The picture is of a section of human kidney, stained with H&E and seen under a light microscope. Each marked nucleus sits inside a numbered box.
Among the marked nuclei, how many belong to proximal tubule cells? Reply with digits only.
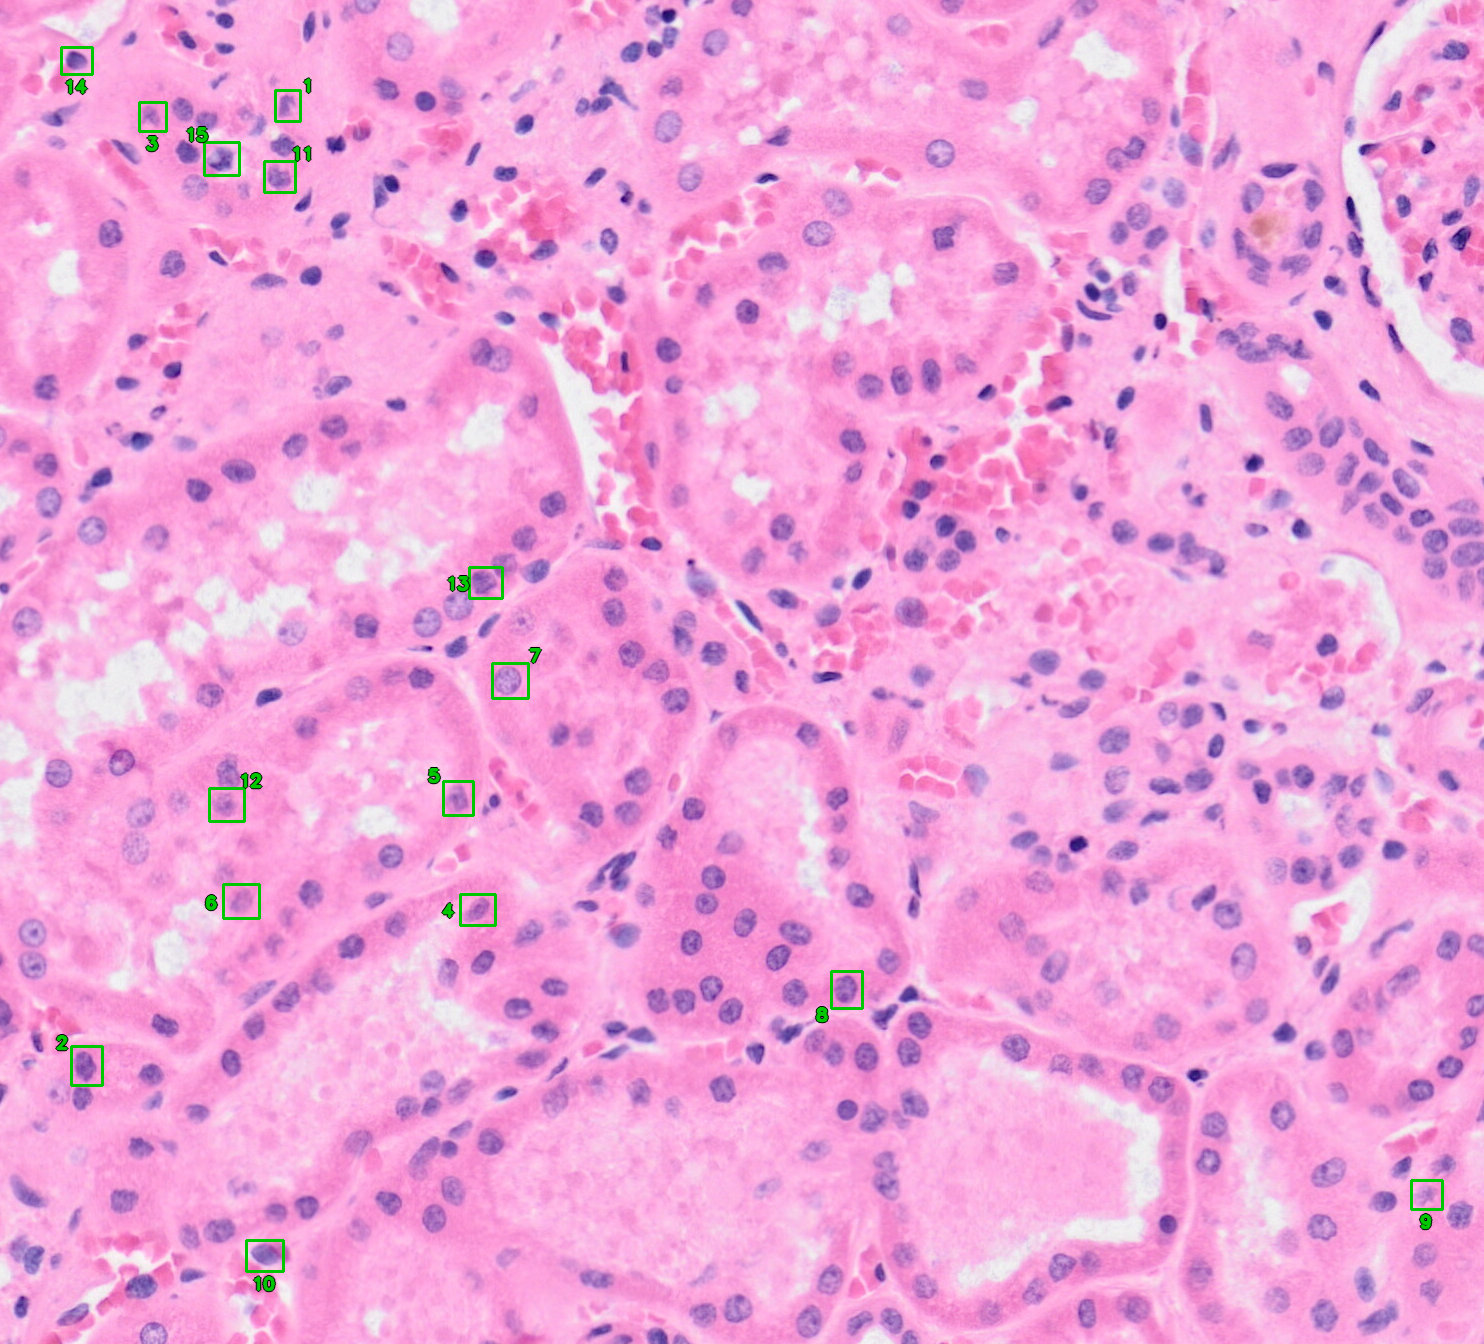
8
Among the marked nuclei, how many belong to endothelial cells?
2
